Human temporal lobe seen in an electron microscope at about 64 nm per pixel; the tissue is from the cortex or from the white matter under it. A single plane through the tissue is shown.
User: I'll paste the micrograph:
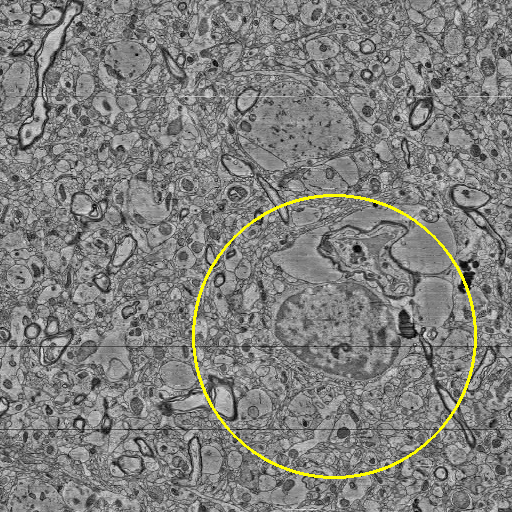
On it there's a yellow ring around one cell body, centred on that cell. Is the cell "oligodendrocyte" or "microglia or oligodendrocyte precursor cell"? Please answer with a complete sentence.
The cell ringed in yellow is an oligodendrocyte.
